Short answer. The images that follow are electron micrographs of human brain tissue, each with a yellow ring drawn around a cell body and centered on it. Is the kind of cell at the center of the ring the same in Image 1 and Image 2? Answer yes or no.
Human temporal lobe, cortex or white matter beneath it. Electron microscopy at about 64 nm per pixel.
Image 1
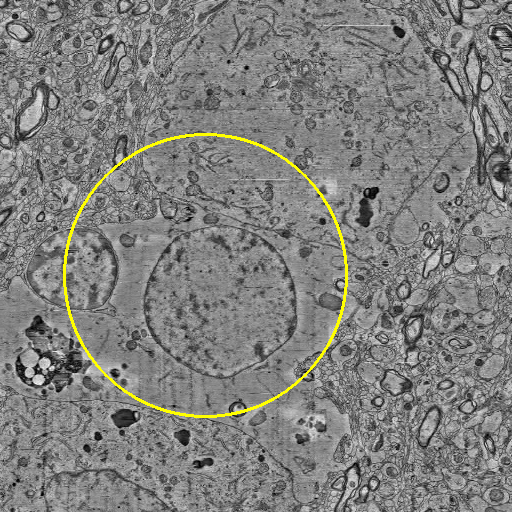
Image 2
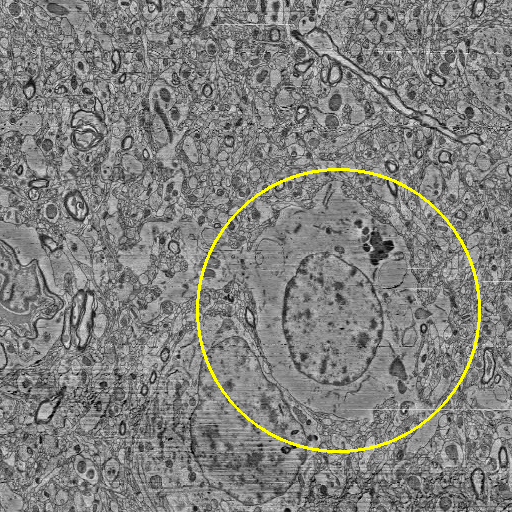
yes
